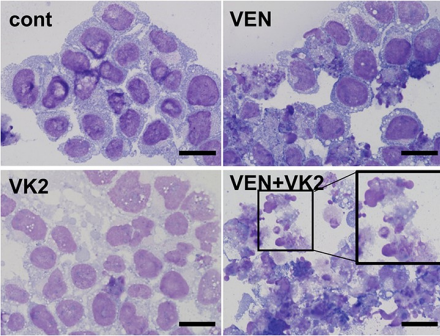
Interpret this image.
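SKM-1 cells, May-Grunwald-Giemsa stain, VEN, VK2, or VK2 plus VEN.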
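These cultured cells are stained so nuclei appear purple and cytoplasm pale blue to lilac. In the top left field the cells are large and crowded, with round or indented nuclei of fine chromatin and a moderate amount of cytoplasm, some of it holding small clear vacuoles. The two side fields still show mostly intact cells, with scattered debris in the top right one. In the bottom right field the picture changes: cells are shrunken and broken, and many dense, dark purple round fragments bud from them or lie free, as the enlarged box shows, the look of apoptosis.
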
